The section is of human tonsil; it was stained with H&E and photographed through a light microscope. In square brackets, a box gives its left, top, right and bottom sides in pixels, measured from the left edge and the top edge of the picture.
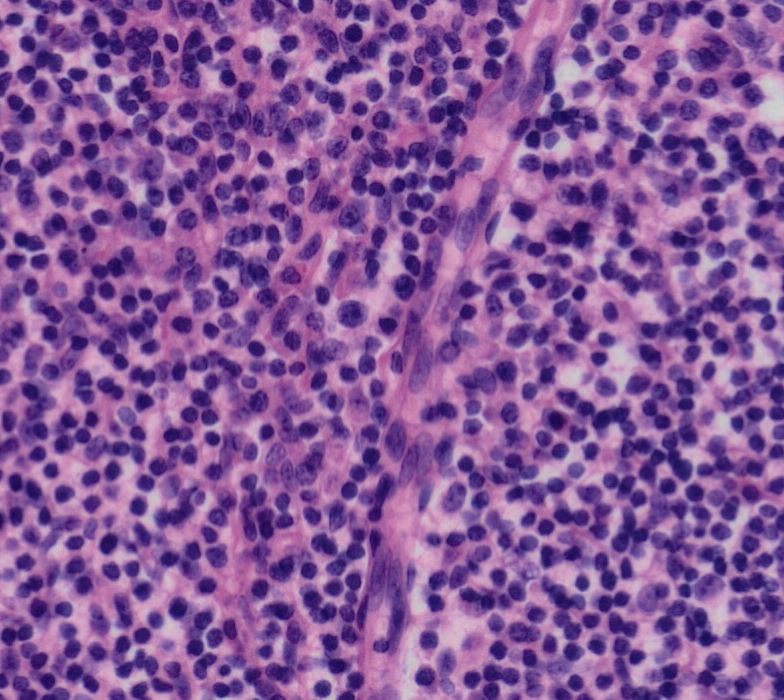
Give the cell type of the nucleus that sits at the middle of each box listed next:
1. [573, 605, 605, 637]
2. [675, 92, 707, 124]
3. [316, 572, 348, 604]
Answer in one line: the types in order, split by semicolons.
small lymphocyte; plasma cell; small lymphocyte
